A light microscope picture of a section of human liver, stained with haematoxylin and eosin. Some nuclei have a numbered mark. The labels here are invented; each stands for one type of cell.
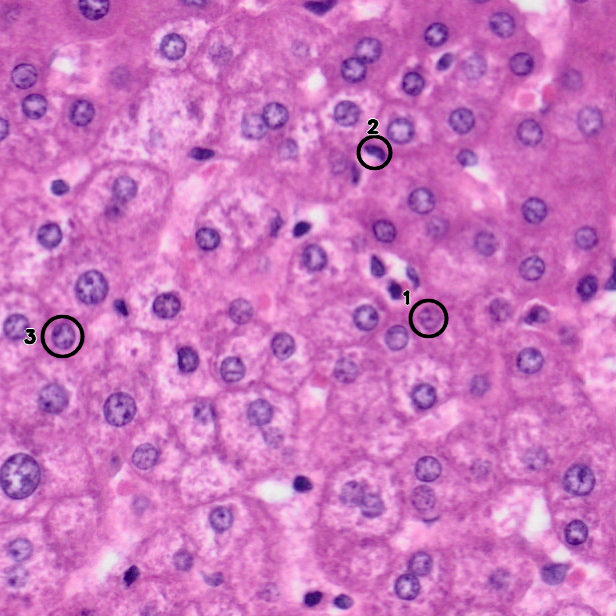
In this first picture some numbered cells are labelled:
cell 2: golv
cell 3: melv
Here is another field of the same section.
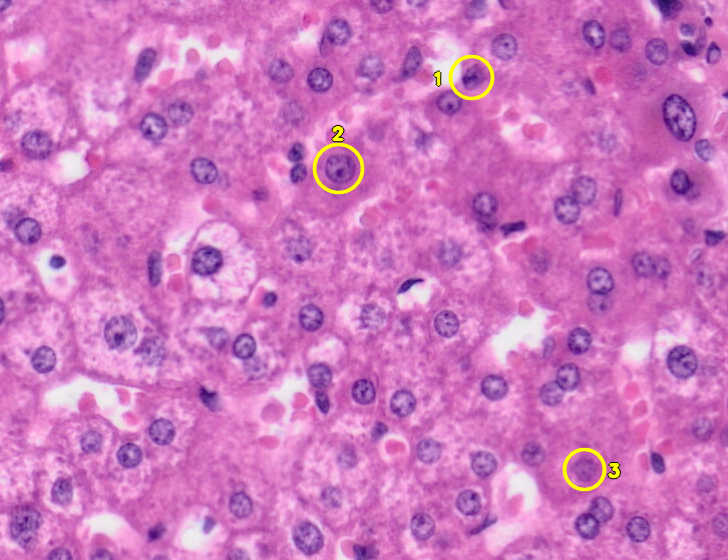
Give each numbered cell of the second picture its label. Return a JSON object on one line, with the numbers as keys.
{"1": "golv", "2": "melv", "3": "melv"}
